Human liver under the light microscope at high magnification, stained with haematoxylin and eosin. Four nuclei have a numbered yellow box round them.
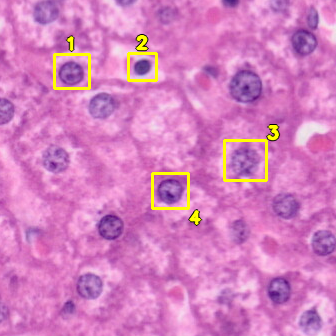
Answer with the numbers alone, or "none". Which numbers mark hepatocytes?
1, 3, 4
